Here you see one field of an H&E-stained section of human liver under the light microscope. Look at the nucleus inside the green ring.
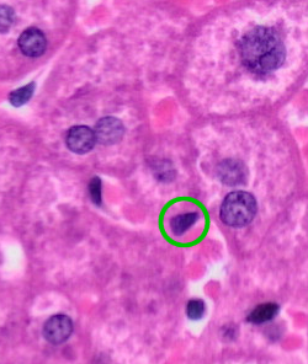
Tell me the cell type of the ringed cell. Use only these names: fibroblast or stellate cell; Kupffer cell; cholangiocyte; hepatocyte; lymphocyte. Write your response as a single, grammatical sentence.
Within the stained tissue, the ringed cell is a fibroblast or stellate cell.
